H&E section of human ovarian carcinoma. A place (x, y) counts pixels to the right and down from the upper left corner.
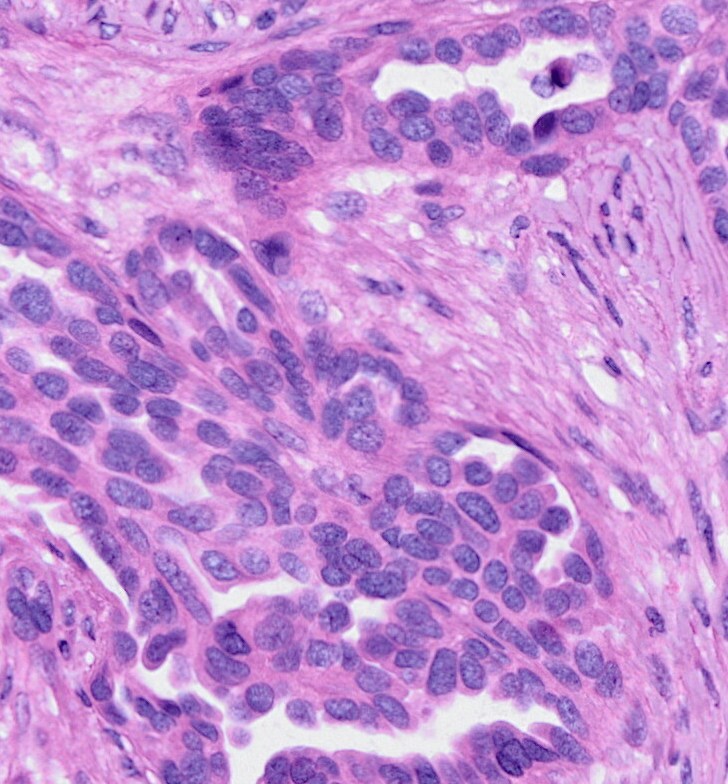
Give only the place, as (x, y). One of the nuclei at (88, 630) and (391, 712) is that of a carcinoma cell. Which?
(391, 712)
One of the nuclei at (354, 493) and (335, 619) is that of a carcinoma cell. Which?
(335, 619)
